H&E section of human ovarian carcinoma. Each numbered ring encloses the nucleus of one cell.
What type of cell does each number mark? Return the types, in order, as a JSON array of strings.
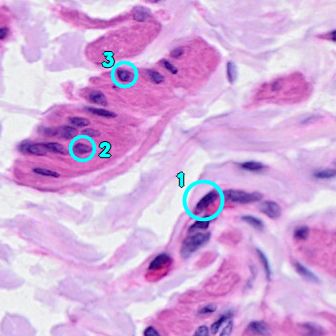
["endothelial cell", "smooth muscle cell", "smooth muscle cell"]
